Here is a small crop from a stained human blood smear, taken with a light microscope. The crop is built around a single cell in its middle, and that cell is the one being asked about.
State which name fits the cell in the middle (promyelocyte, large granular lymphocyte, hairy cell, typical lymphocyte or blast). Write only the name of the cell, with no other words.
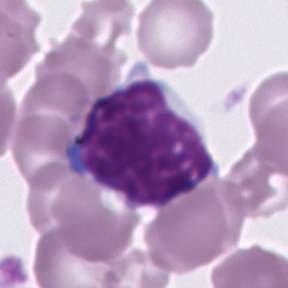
typical lymphocyte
